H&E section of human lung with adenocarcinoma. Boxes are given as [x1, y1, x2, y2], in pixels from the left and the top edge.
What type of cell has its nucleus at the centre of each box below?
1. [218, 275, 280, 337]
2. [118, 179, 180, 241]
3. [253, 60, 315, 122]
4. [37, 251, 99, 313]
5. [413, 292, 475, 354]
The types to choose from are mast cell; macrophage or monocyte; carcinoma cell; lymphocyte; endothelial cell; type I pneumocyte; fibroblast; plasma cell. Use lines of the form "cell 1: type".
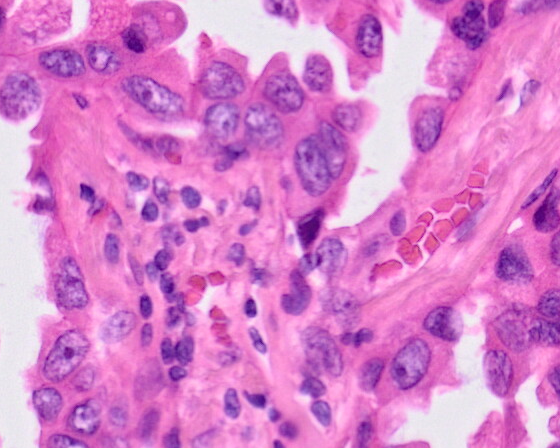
cell 1: lymphocyte
cell 2: lymphocyte
cell 3: carcinoma cell
cell 4: carcinoma cell
cell 5: carcinoma cell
